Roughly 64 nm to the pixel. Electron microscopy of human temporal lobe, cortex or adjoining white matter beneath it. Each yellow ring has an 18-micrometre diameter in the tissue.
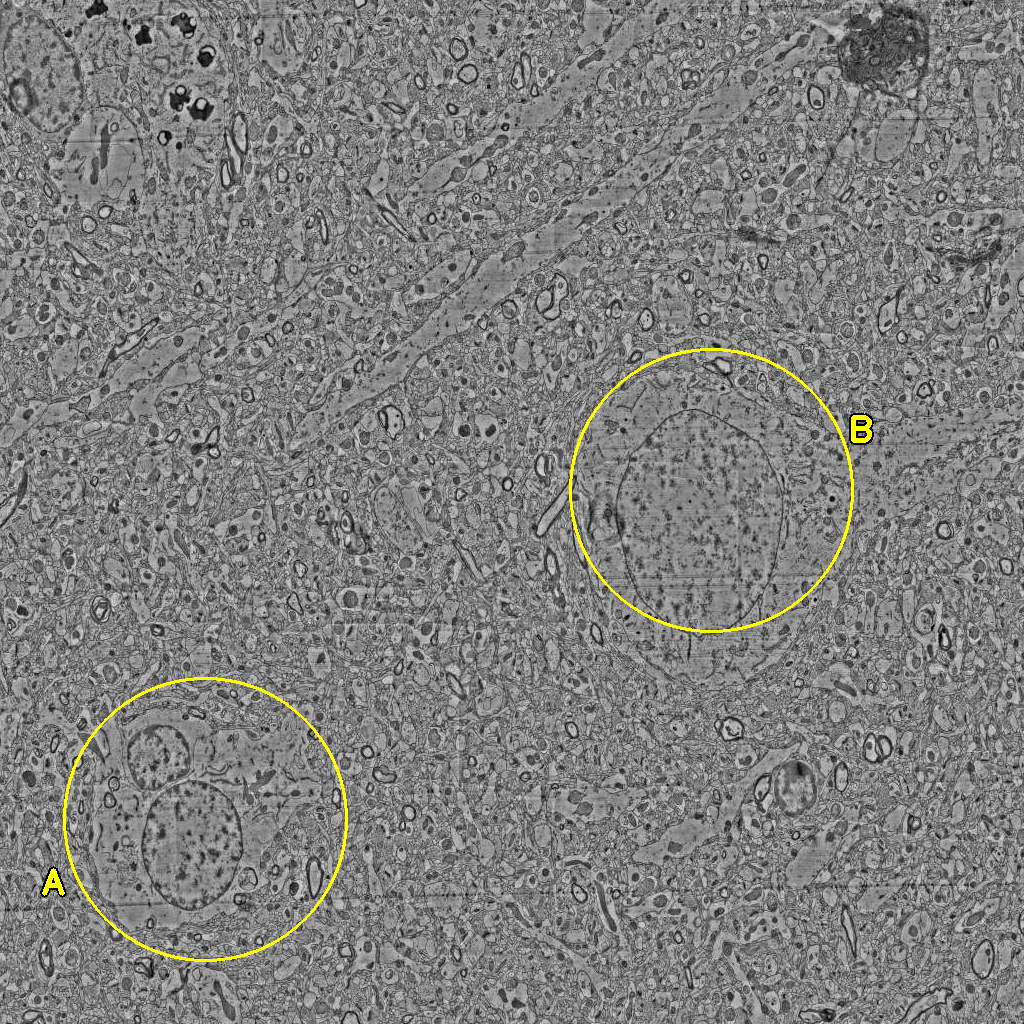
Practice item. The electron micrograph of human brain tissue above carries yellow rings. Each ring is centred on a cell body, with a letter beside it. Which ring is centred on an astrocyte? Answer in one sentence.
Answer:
Ring A is centred on it.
